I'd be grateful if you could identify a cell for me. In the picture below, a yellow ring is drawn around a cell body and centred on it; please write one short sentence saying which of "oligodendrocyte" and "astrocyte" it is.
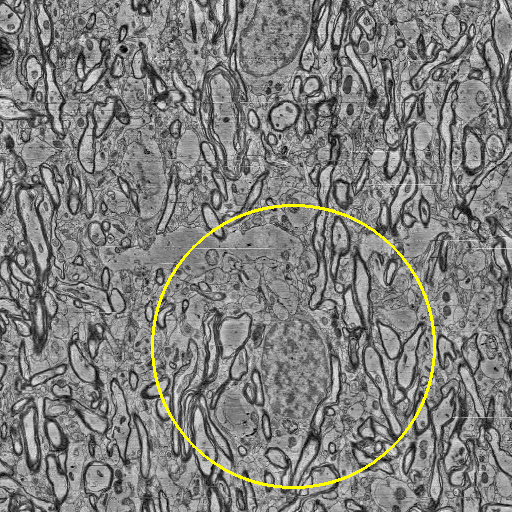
The cell under the ring's centre is an oligodendrocyte.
